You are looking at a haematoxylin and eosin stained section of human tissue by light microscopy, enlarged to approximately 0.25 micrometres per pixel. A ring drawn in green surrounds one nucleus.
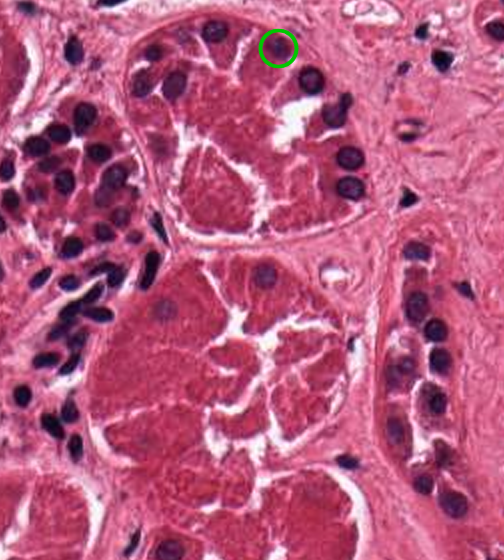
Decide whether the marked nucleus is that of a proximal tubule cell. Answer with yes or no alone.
yes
